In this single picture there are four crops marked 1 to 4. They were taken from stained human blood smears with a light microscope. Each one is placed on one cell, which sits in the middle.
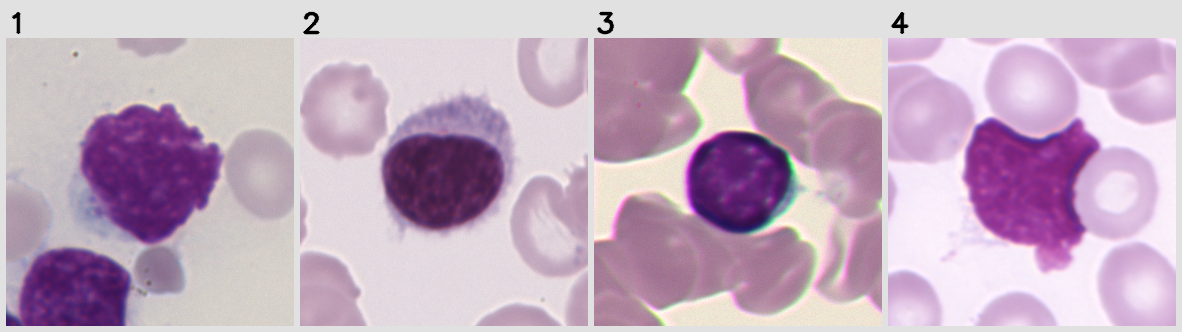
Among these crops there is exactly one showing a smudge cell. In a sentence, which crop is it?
Crop 4 is the correct crop, and it shows a smudge cell.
